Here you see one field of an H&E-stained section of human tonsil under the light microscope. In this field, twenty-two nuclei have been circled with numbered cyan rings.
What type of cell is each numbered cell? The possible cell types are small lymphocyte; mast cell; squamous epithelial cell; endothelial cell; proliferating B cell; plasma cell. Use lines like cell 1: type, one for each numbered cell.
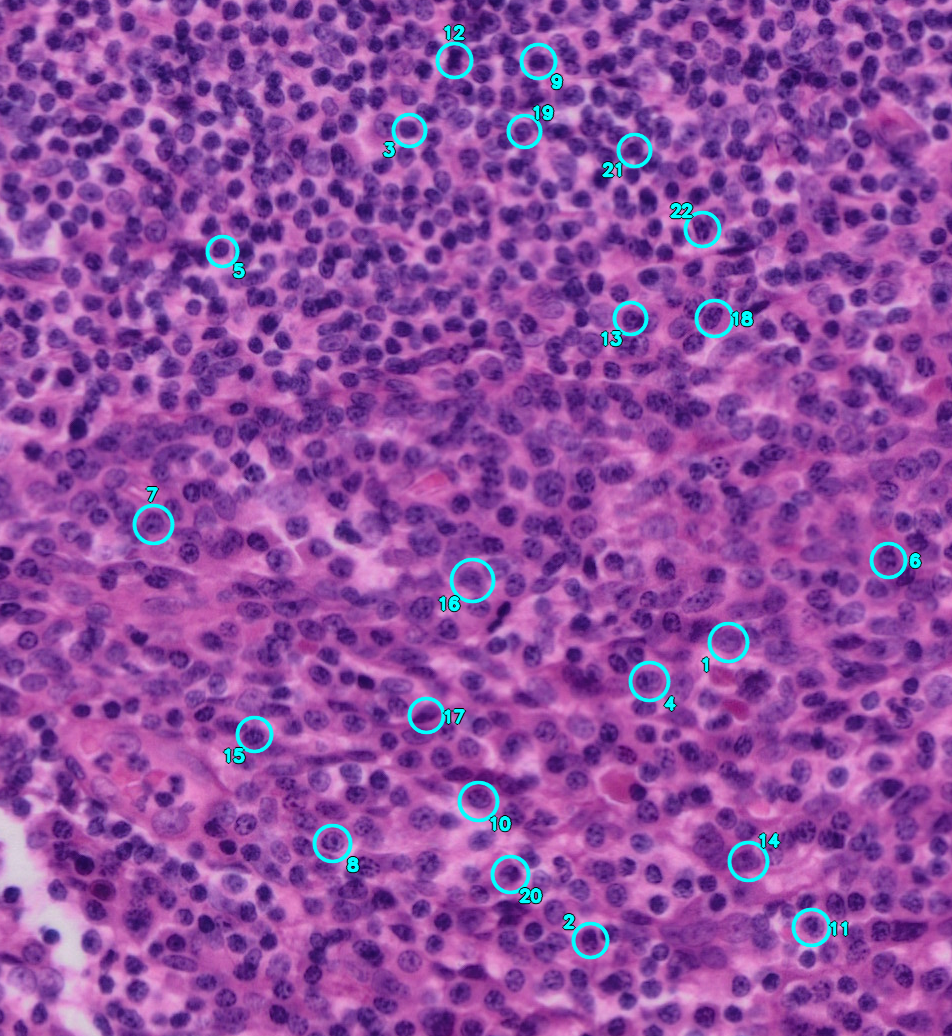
cell 1: squamous epithelial cell
cell 2: plasma cell
cell 3: small lymphocyte
cell 4: plasma cell
cell 5: small lymphocyte
cell 6: plasma cell
cell 7: plasma cell
cell 8: plasma cell
cell 9: small lymphocyte
cell 10: plasma cell
cell 11: plasma cell
cell 12: small lymphocyte
cell 13: plasma cell
cell 14: squamous epithelial cell
cell 15: plasma cell
cell 16: squamous epithelial cell
cell 17: squamous epithelial cell
cell 18: plasma cell
cell 19: small lymphocyte
cell 20: plasma cell
cell 21: small lymphocyte
cell 22: plasma cell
